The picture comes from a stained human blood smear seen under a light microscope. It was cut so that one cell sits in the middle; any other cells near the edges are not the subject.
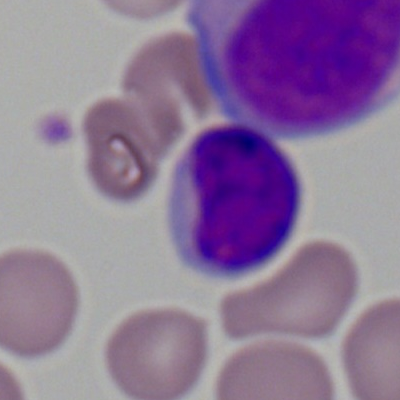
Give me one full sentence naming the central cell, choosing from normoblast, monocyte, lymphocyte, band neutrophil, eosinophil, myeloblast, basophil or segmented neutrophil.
The cell nearest the centre of this crop is a lymphocyte.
